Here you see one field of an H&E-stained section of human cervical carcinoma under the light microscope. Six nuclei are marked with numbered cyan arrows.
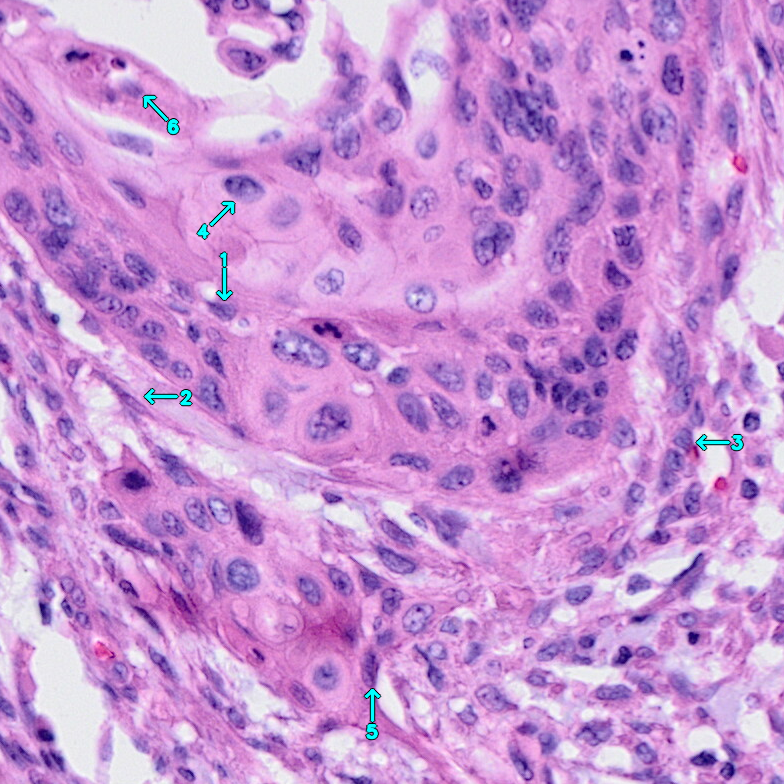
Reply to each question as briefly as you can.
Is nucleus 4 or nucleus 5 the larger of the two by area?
4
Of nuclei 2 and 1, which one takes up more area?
2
